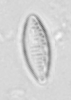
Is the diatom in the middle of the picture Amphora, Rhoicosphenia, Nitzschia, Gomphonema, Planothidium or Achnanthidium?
It is Nitzschia.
